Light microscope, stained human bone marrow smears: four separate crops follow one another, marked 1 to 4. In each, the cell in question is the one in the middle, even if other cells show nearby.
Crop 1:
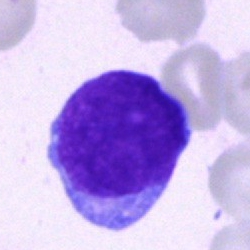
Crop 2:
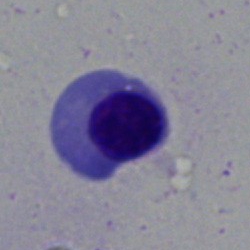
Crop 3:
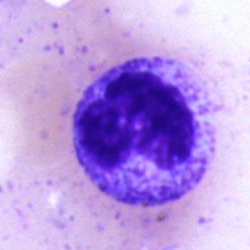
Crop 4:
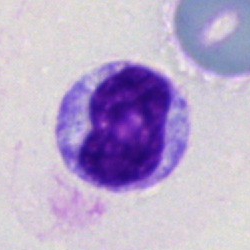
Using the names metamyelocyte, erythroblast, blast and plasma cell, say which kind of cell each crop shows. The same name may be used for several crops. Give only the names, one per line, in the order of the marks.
blast
erythroblast
metamyelocyte
metamyelocyte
